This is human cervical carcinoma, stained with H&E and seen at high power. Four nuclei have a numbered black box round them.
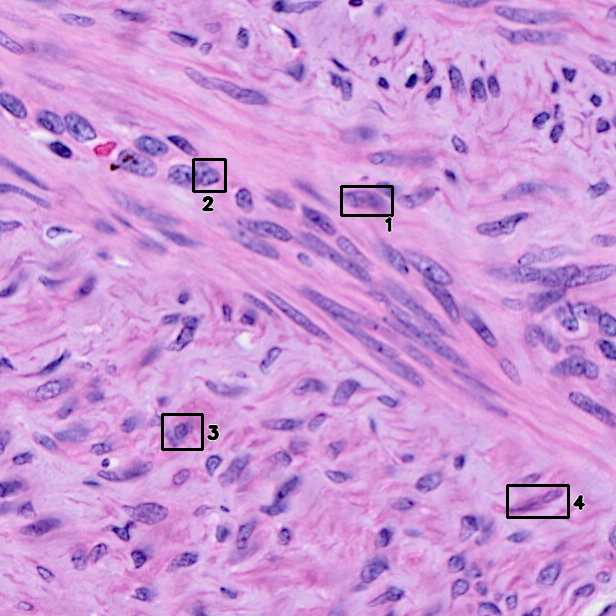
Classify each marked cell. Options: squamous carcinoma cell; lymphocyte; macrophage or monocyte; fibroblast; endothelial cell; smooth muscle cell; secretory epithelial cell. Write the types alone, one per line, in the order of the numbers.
smooth muscle cell
endothelial cell
smooth muscle cell
smooth muscle cell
